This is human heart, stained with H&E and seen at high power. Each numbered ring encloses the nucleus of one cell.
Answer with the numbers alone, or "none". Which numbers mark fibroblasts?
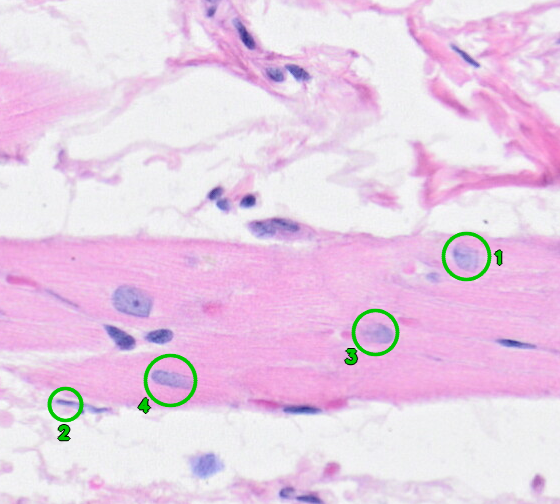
2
